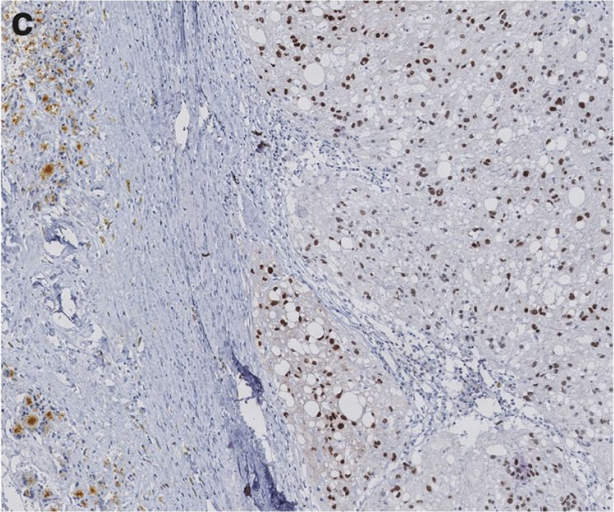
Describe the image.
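This is a tumour of large cells with pale, bubbly cytoplasm full of clear vacuoles of varying size, lying in sheets on the right and in a smaller group lower in the middle. A band of slender spindle cells with blue, unstained nuclei runs down through the middle, separating the tumour cells from looser tissue on the left. On the far left are scattered cells with golden-brown granular pigment in their cytoplasm.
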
